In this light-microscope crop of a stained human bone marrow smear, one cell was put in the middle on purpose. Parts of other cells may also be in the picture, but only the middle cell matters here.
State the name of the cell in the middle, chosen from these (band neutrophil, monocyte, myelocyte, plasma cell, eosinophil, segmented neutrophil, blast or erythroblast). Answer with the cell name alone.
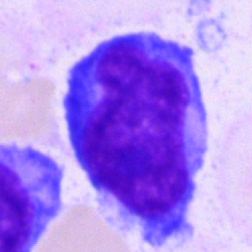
blast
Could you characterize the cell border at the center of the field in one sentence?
An uneven margin is present, with either ragged stretches or outward projections.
